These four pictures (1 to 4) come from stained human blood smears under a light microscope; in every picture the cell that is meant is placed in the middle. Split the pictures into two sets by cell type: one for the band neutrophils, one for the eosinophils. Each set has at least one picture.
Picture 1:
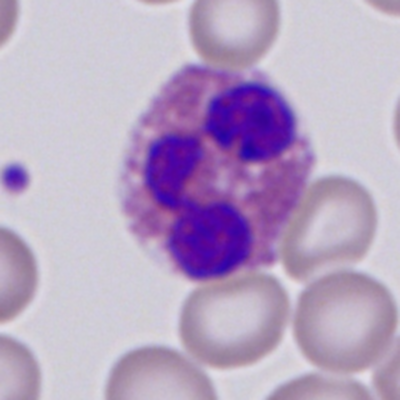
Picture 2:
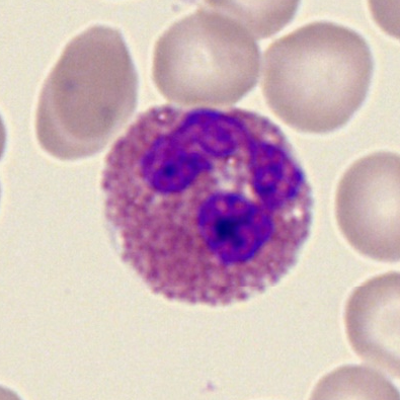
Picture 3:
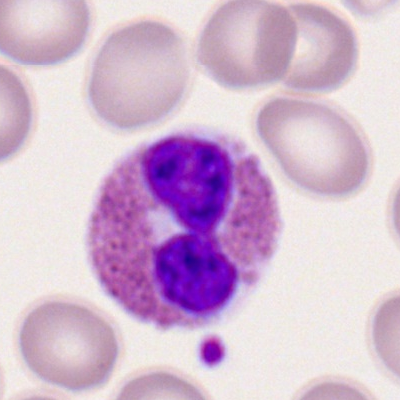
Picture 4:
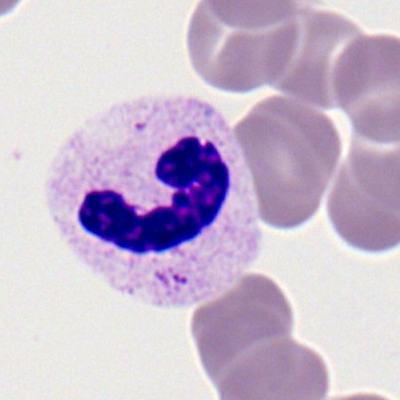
1: eosinophil
2: eosinophil
3: eosinophil
4: band neutrophil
